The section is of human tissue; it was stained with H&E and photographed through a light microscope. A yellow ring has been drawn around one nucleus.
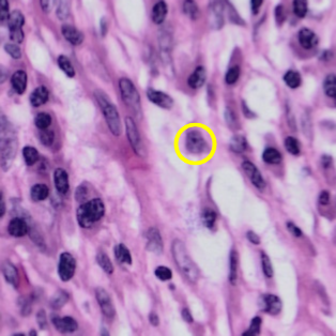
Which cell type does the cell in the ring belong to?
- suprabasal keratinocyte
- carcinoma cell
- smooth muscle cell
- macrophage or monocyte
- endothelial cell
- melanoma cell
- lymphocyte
macrophage or monocyte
